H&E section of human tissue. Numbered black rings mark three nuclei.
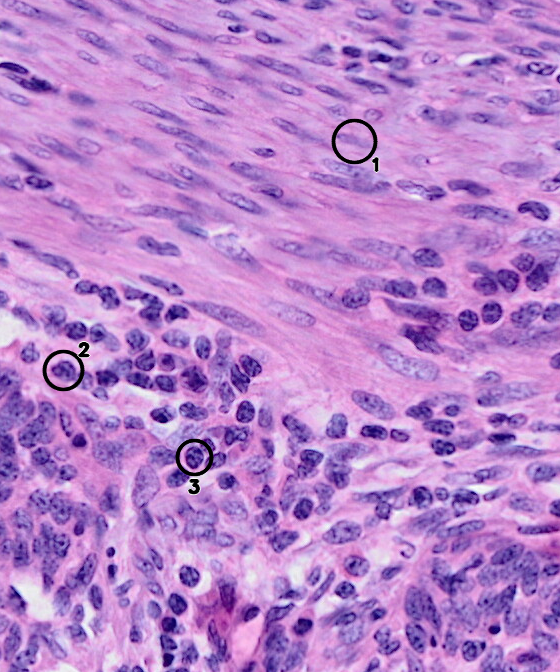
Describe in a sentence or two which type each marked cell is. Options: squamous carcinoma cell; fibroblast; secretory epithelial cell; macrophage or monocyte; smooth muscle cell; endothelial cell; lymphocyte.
Cell 1 is a smooth muscle cell, cell 2 is a lymphocyte and cell 3 is a lymphocyte.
